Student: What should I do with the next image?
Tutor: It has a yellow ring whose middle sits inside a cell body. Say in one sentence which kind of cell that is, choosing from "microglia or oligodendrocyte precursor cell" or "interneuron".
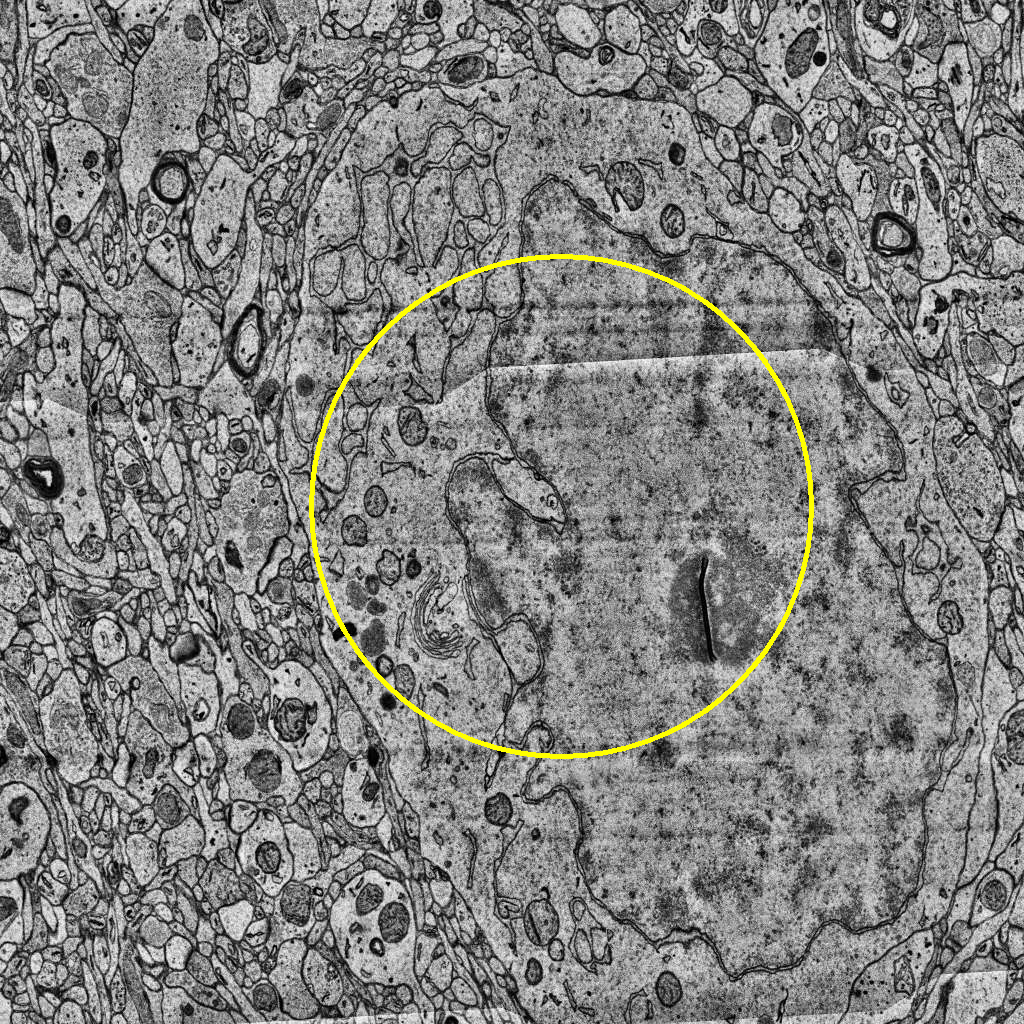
The ring's centre is occupied by an interneuron.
